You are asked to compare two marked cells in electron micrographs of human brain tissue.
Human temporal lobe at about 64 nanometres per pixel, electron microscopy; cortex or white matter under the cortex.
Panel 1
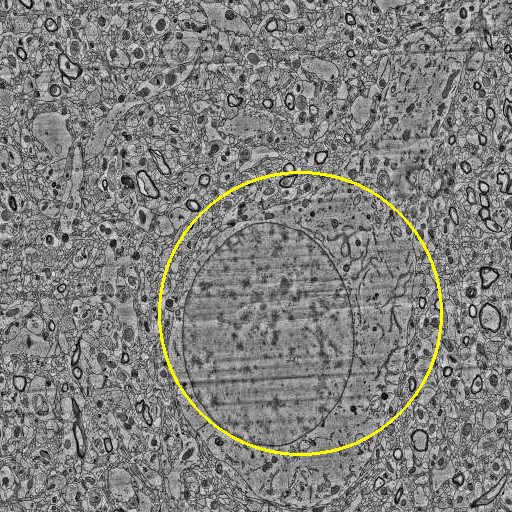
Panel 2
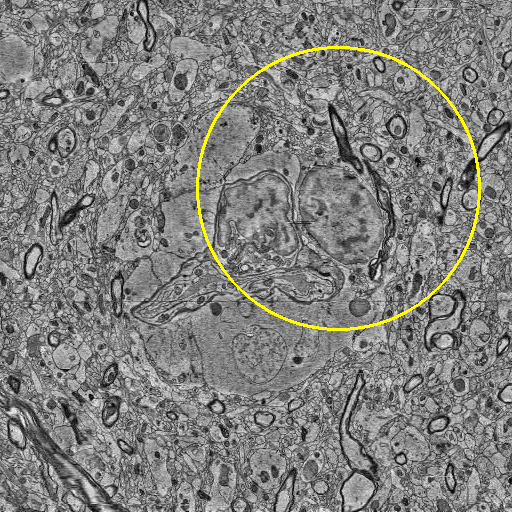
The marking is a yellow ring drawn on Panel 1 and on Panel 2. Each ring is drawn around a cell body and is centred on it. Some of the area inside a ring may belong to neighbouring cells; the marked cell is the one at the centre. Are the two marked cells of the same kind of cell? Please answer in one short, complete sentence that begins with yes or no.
No, the two marked cells are of two kinds.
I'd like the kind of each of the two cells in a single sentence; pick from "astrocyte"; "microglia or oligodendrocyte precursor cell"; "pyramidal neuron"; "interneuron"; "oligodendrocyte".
The first ring marks a pyramidal neuron, and the second ring marks an oligodendrocyte.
